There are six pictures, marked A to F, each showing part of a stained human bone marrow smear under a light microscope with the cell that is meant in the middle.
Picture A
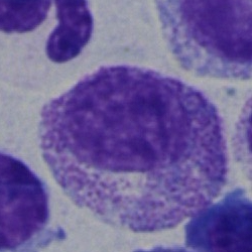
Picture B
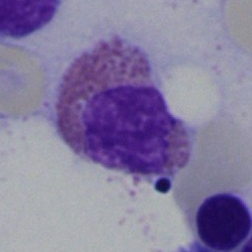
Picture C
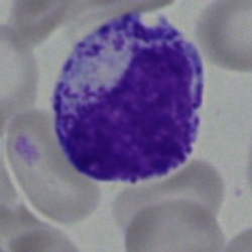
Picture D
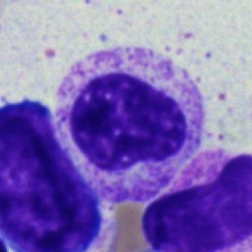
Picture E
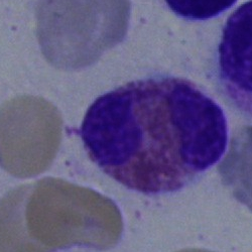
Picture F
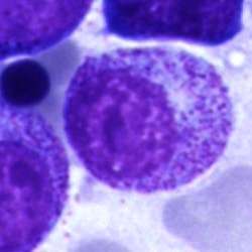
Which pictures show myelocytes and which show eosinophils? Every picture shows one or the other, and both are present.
A: myelocyte
B: eosinophil
C: myelocyte
D: myelocyte
E: eosinophil
F: myelocyte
